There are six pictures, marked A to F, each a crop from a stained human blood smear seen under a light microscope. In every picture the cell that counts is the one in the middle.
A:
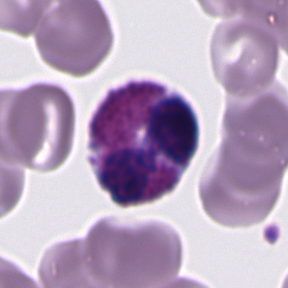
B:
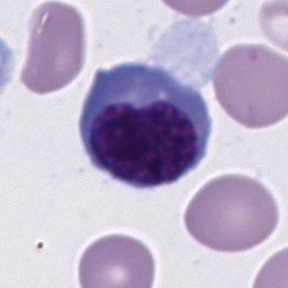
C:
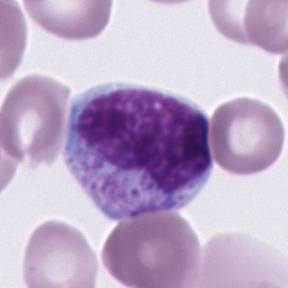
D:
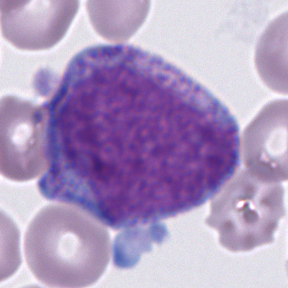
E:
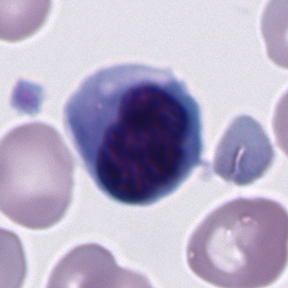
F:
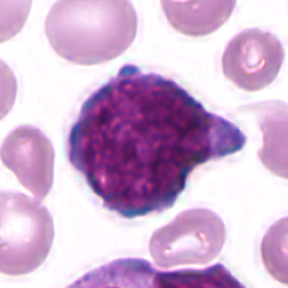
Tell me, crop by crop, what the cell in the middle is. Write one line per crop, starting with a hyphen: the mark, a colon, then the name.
- A: eosinophil
- B: normoblast
- C: myelocyte
- D: promyelocyte
- E: normoblast
- F: atypical promyelocyte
